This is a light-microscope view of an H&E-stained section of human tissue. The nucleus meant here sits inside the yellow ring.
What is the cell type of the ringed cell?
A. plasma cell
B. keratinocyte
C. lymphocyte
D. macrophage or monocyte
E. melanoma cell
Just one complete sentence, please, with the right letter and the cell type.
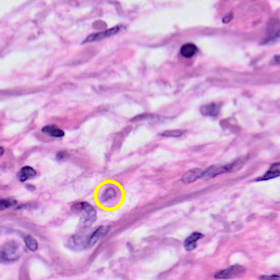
Option D stands as correct, with the ringed cell being a macrophage or monocyte.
